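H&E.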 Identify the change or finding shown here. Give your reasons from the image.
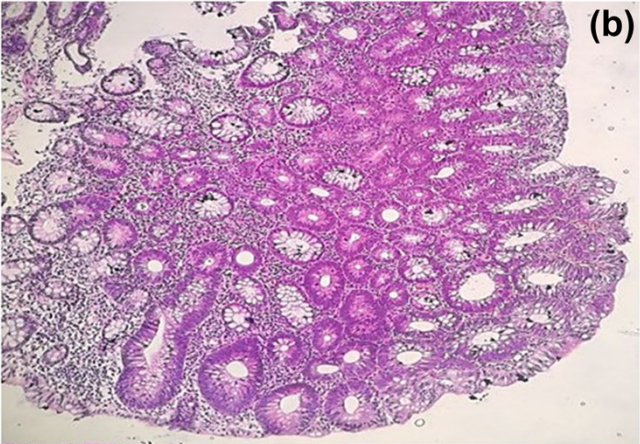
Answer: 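Crowded round tubular glands seen mostly in cross-section. Gland epithelium is darker-staining with fewer goblet cells than normal. No long finger-like surface projections. That points to this answer: tubular adenoma, low-grade dysplasia.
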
